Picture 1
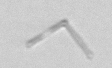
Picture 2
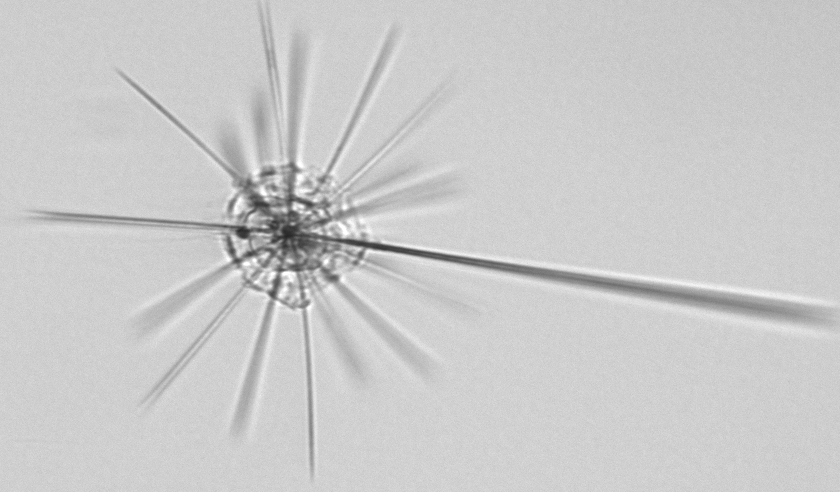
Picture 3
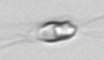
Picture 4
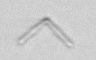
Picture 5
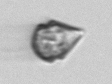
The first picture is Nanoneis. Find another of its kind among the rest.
Picture 4.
